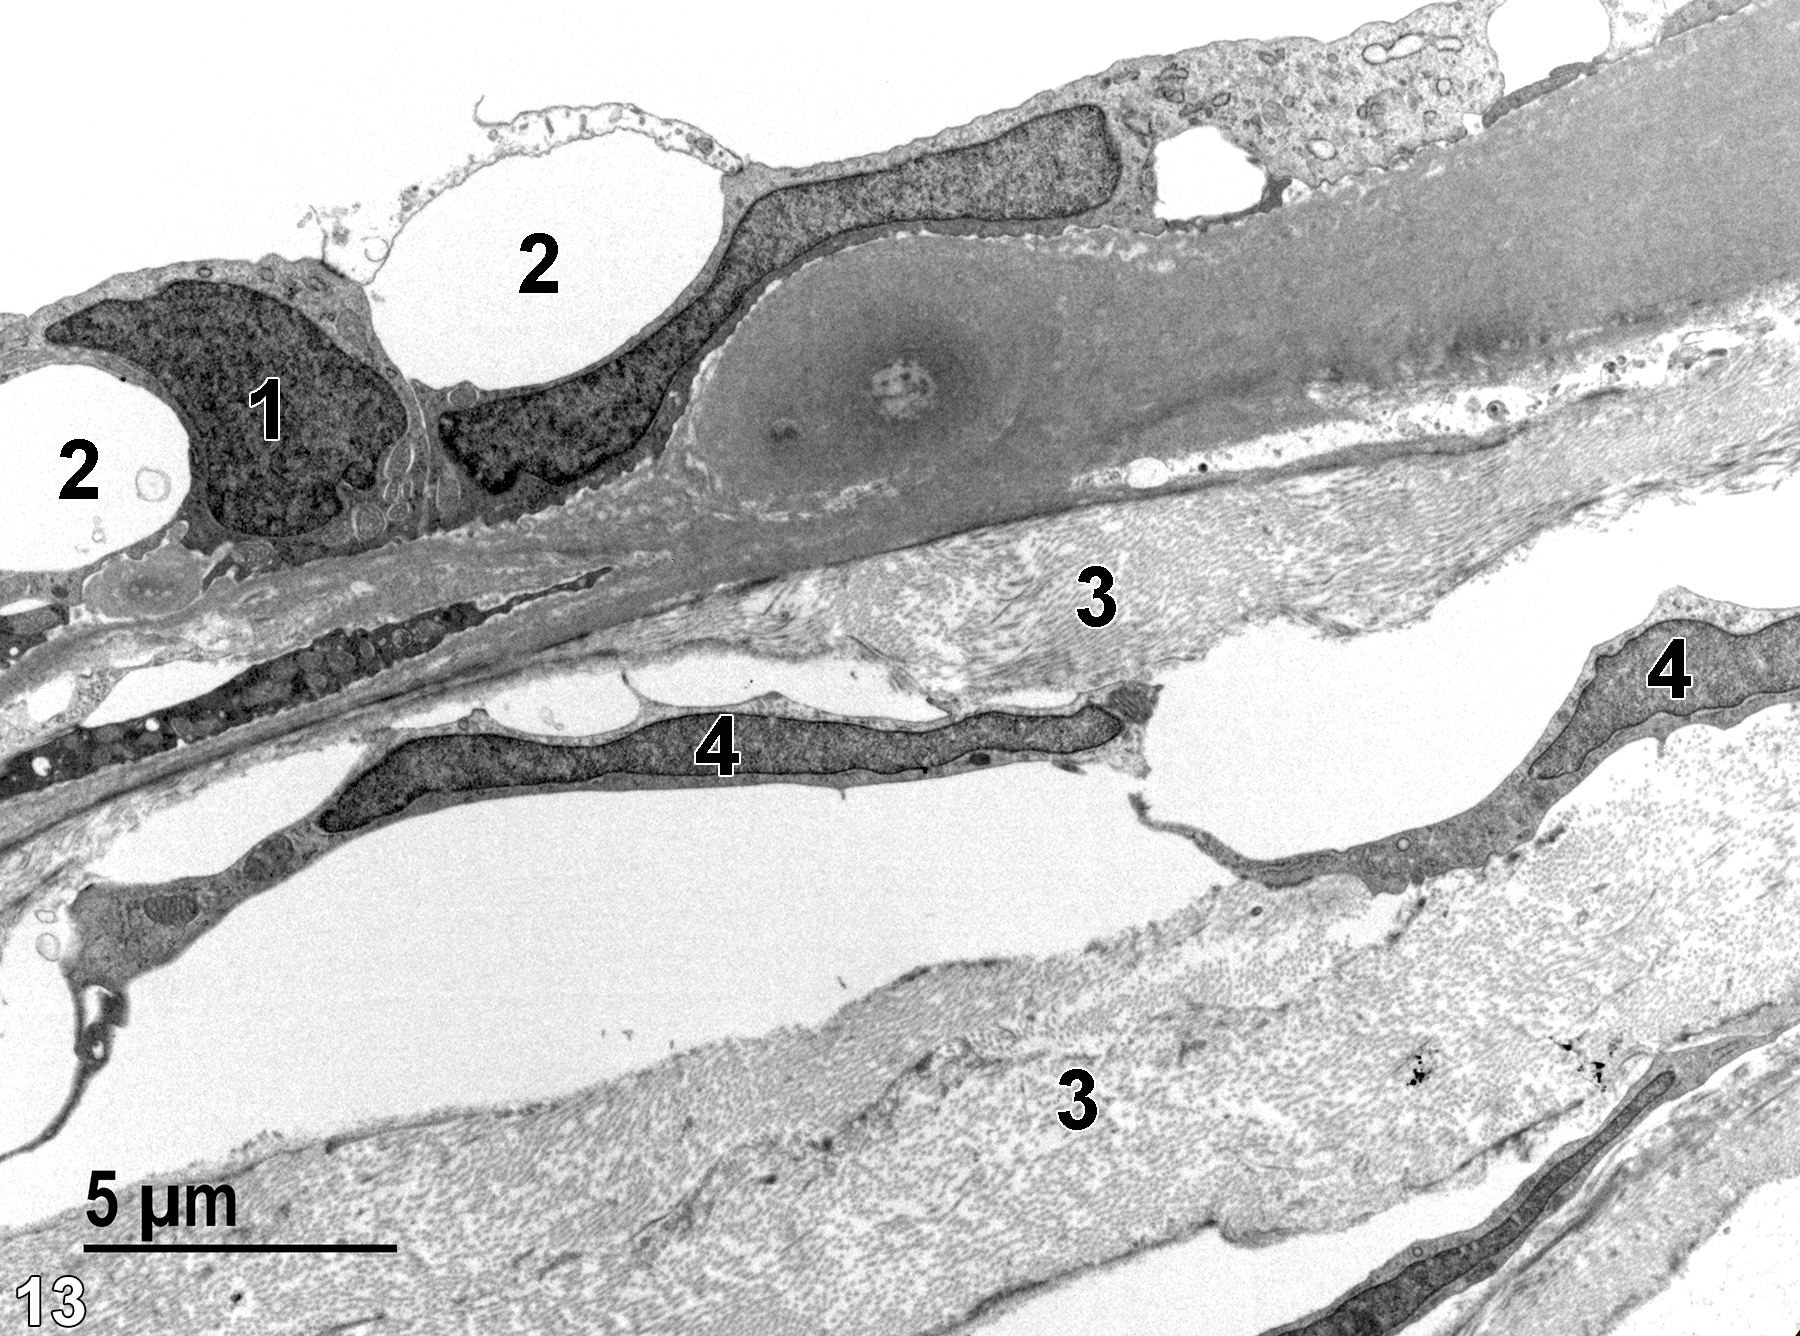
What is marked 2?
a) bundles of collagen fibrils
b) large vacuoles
b) large vacuoles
